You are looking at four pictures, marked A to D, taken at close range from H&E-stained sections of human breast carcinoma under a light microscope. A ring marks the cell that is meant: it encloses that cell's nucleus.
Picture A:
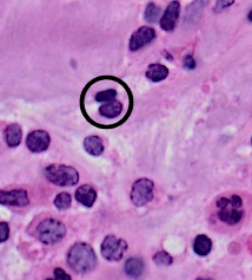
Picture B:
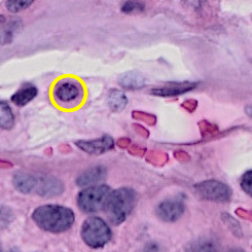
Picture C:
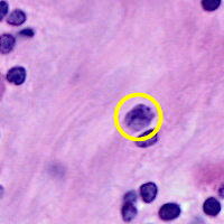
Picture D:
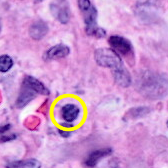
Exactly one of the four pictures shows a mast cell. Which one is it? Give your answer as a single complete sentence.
Picture B is the one that shows the mast cell.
